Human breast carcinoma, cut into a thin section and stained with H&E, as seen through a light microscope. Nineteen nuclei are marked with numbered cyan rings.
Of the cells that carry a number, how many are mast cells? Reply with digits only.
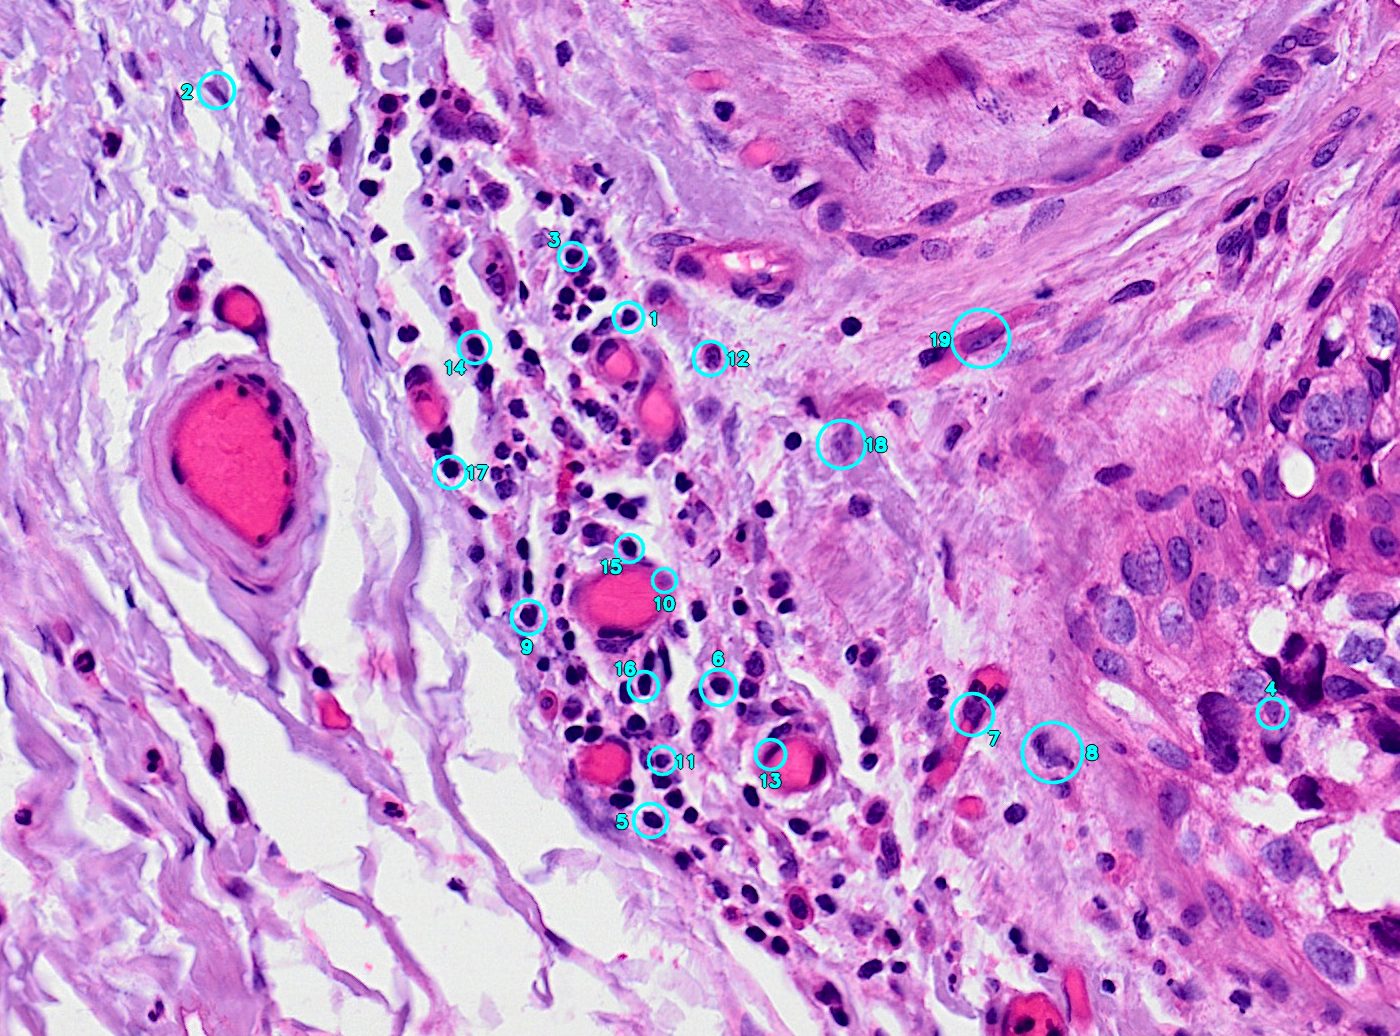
1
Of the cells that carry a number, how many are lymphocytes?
10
